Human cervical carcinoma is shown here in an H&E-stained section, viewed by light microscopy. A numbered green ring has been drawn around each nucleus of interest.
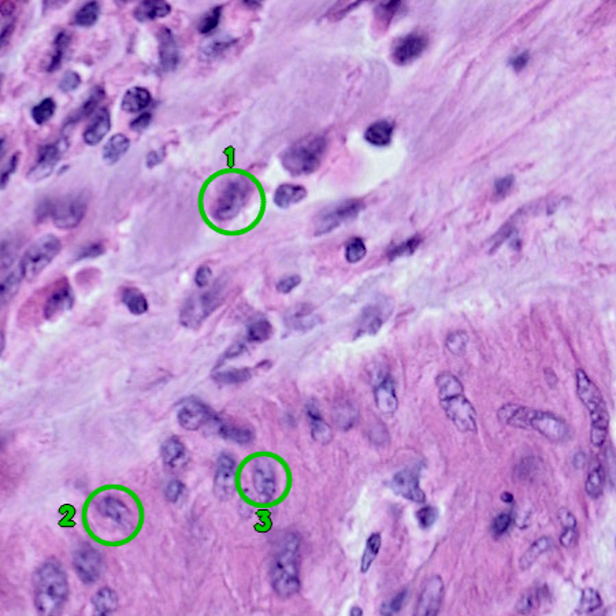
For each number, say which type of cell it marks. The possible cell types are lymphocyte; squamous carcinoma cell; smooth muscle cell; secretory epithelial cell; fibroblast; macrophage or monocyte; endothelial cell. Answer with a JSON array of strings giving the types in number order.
["macrophage or monocyte", "smooth muscle cell", "smooth muscle cell"]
